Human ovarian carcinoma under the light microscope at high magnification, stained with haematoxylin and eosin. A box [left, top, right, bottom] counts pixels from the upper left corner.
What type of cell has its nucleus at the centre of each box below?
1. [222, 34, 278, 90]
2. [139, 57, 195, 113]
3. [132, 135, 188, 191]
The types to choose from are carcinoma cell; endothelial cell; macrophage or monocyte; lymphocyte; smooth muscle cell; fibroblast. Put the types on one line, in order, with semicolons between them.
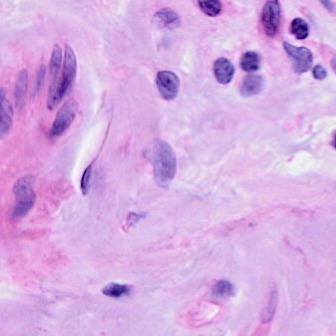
lymphocyte; fibroblast; fibroblast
